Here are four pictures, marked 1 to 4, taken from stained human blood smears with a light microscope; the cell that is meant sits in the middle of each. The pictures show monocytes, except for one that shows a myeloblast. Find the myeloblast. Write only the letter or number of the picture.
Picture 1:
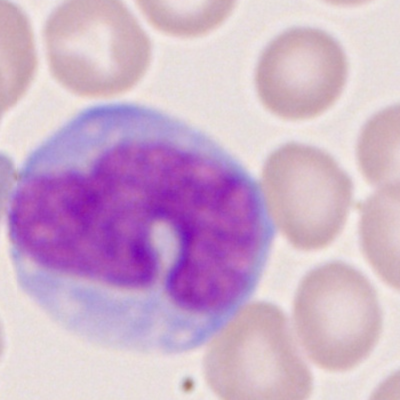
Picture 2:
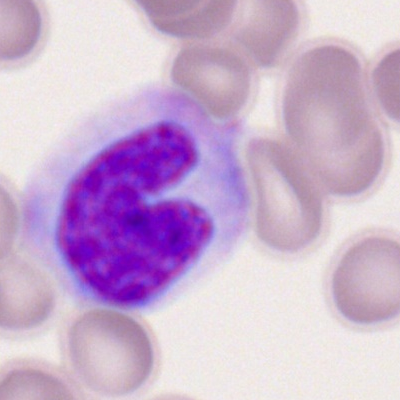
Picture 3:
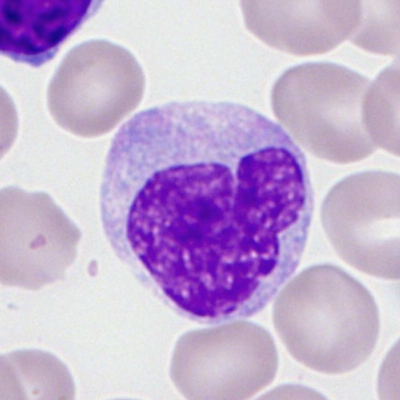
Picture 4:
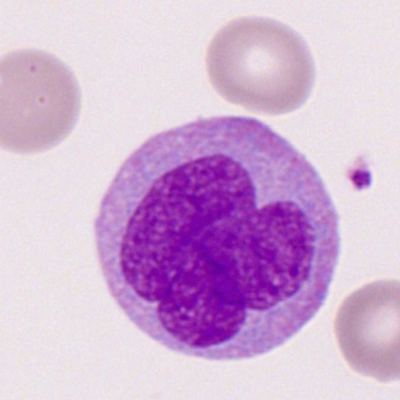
4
